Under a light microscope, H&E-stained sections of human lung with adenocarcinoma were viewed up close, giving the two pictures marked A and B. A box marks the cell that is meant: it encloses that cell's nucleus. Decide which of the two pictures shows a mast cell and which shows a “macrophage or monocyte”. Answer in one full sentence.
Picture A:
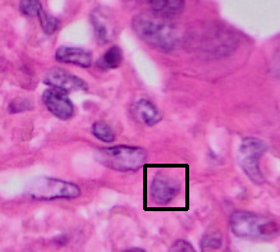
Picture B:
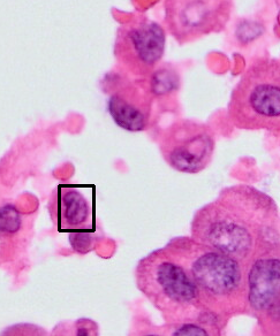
It is picture A that shows a mast cell, and picture B that shows a “macrophage or monocyte”.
